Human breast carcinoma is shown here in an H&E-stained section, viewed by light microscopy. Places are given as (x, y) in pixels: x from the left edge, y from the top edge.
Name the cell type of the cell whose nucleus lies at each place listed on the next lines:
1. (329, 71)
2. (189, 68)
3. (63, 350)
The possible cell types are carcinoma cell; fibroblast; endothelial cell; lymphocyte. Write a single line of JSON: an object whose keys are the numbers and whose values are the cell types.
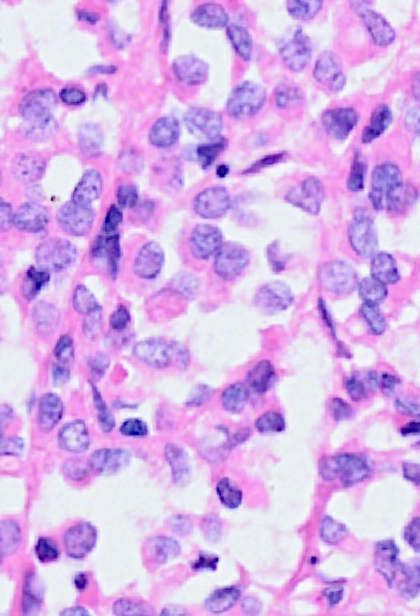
{"1": "carcinoma cell", "2": "carcinoma cell", "3": "endothelial cell"}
